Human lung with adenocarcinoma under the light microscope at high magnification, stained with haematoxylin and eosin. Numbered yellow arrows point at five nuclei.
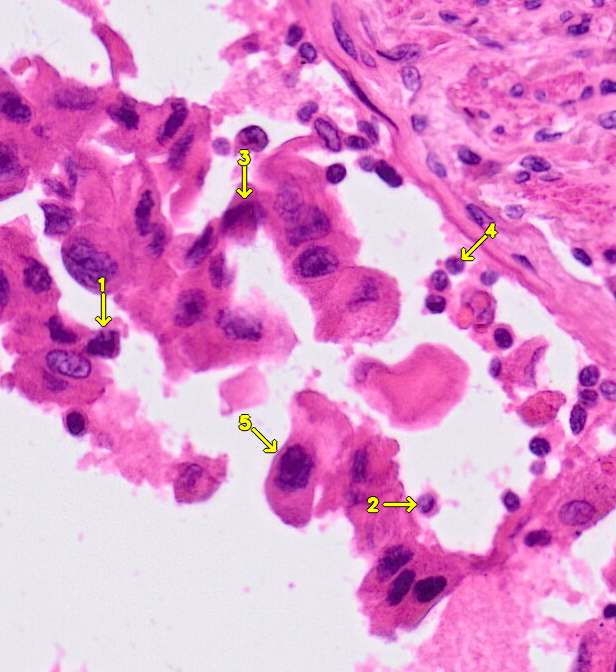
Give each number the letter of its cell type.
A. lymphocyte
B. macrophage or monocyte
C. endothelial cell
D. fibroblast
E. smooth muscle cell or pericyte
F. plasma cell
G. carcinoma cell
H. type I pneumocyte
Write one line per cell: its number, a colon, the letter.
1: G
2: A
3: G
4: A
5: G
